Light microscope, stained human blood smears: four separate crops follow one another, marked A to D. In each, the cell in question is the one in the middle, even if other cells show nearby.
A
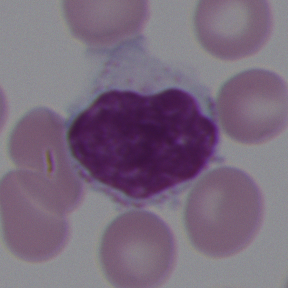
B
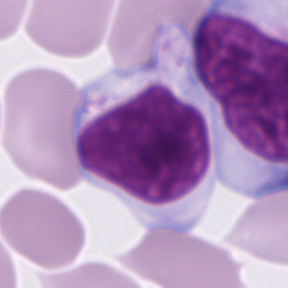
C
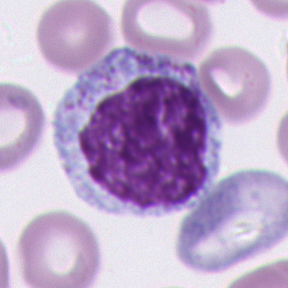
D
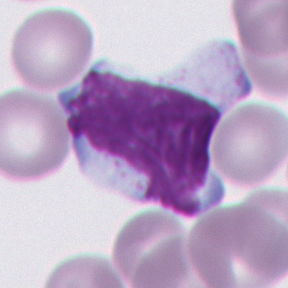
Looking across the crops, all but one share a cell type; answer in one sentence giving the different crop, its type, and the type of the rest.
The rest of the crops show large granular lymphocytes; crop C is the one showing a myelocyte.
